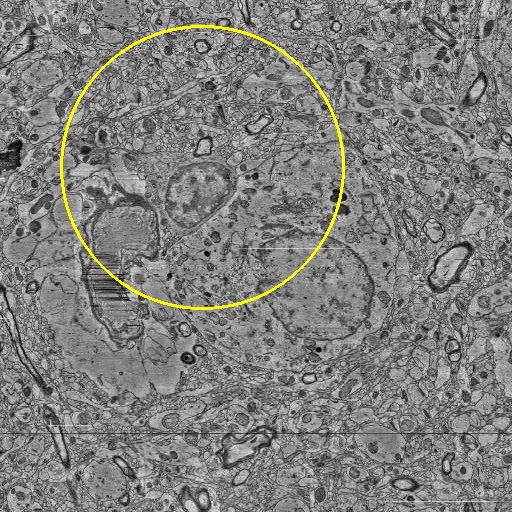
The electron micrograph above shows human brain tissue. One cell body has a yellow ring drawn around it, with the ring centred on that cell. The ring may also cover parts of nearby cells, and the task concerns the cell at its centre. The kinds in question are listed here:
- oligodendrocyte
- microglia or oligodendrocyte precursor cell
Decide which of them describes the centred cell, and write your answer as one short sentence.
The centred cell is an oligodendrocyte.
